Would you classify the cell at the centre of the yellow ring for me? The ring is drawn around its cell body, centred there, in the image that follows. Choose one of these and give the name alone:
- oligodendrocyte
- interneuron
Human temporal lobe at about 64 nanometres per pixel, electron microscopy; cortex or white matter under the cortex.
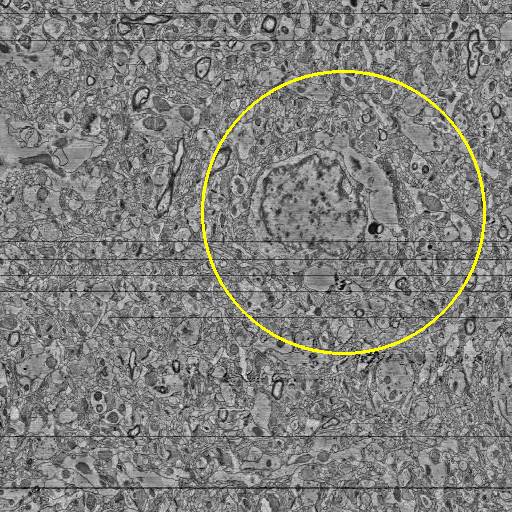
interneuron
